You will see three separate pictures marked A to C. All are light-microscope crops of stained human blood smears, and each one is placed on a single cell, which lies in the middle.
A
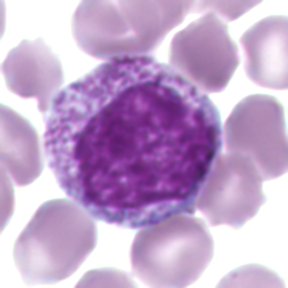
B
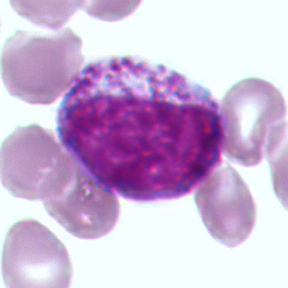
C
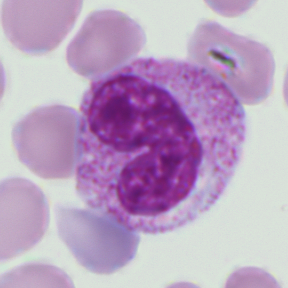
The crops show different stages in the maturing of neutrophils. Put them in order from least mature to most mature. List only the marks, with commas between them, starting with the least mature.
A, B, C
